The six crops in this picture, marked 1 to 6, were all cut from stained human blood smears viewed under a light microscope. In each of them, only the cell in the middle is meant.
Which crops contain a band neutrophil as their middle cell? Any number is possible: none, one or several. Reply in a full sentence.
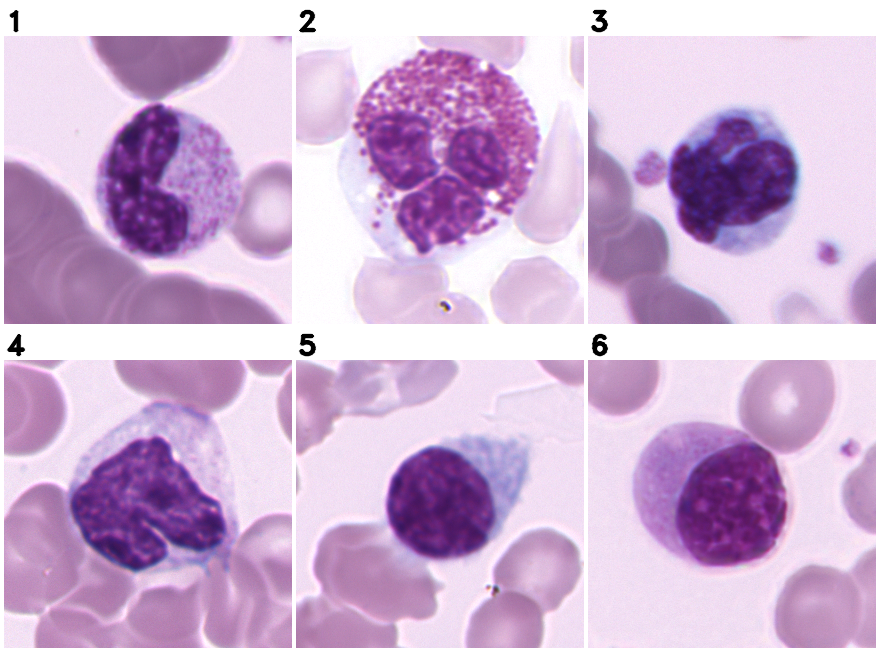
Crops 1 and 4 are the ones showing band neutrophils.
